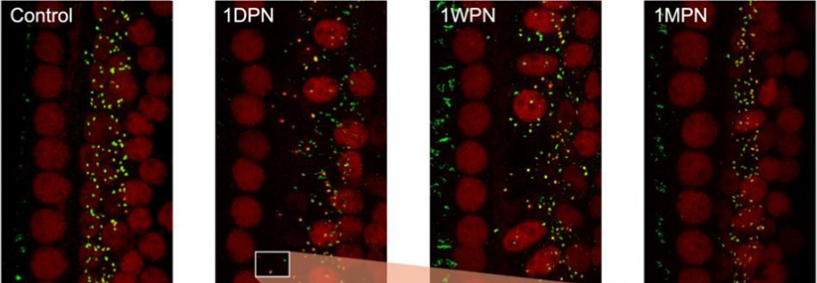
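This is a row of four fluorescence views of the cochlear sensory epithelium, seen from above. In each view, large, rounded red bodies line up in columns, and a vertical band beside them is crowded with tiny dots. The number of yellow dots in the band differs between the four views.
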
